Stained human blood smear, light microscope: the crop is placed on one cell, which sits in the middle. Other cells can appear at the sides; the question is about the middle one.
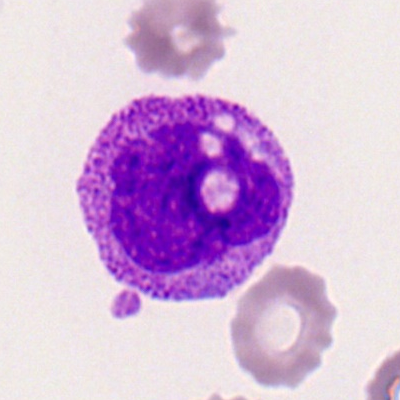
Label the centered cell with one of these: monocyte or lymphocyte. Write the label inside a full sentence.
The cell sitting right in the middle is a monocyte.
